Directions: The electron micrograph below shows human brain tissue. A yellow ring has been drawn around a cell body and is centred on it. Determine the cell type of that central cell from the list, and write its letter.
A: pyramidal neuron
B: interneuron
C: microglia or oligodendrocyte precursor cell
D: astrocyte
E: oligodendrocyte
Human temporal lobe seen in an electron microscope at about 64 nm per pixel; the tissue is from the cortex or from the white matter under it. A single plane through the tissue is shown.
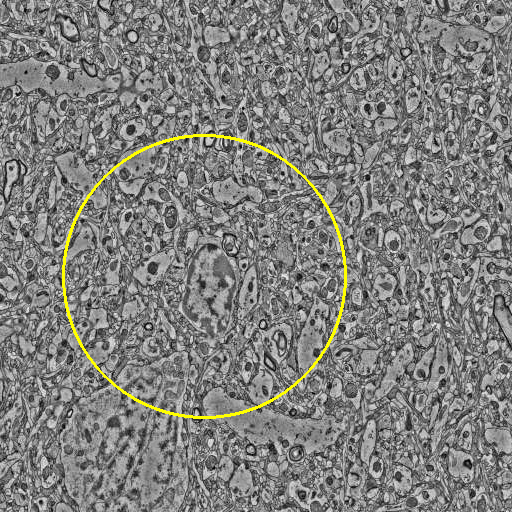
C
